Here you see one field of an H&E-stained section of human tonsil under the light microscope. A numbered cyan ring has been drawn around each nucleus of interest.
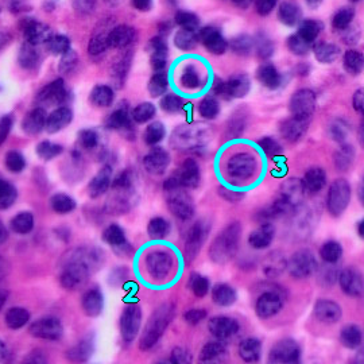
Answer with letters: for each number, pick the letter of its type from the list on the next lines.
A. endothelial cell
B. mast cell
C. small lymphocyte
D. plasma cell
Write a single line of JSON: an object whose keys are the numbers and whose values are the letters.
{"1": "C", "2": "D", "3": "D"}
